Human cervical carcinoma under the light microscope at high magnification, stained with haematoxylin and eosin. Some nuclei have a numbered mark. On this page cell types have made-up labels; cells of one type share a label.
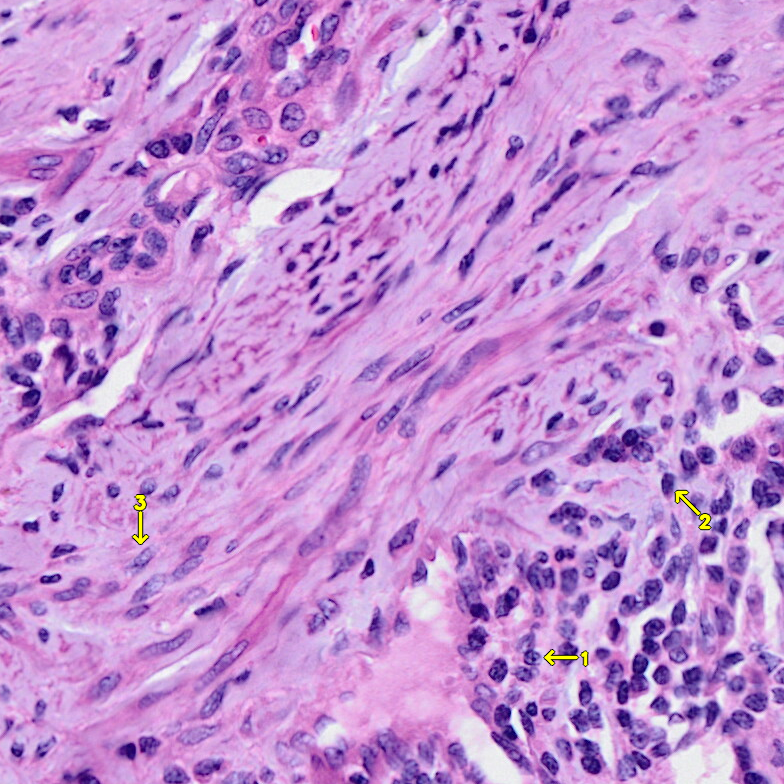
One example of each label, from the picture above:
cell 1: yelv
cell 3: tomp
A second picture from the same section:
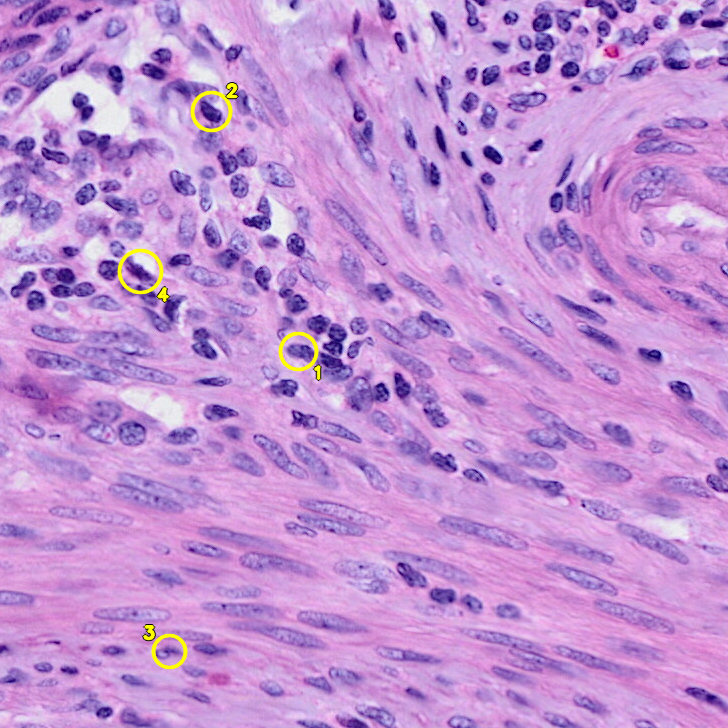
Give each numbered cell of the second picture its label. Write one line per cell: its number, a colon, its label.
1: yelv
2: yelv
3: tomp
4: yelv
